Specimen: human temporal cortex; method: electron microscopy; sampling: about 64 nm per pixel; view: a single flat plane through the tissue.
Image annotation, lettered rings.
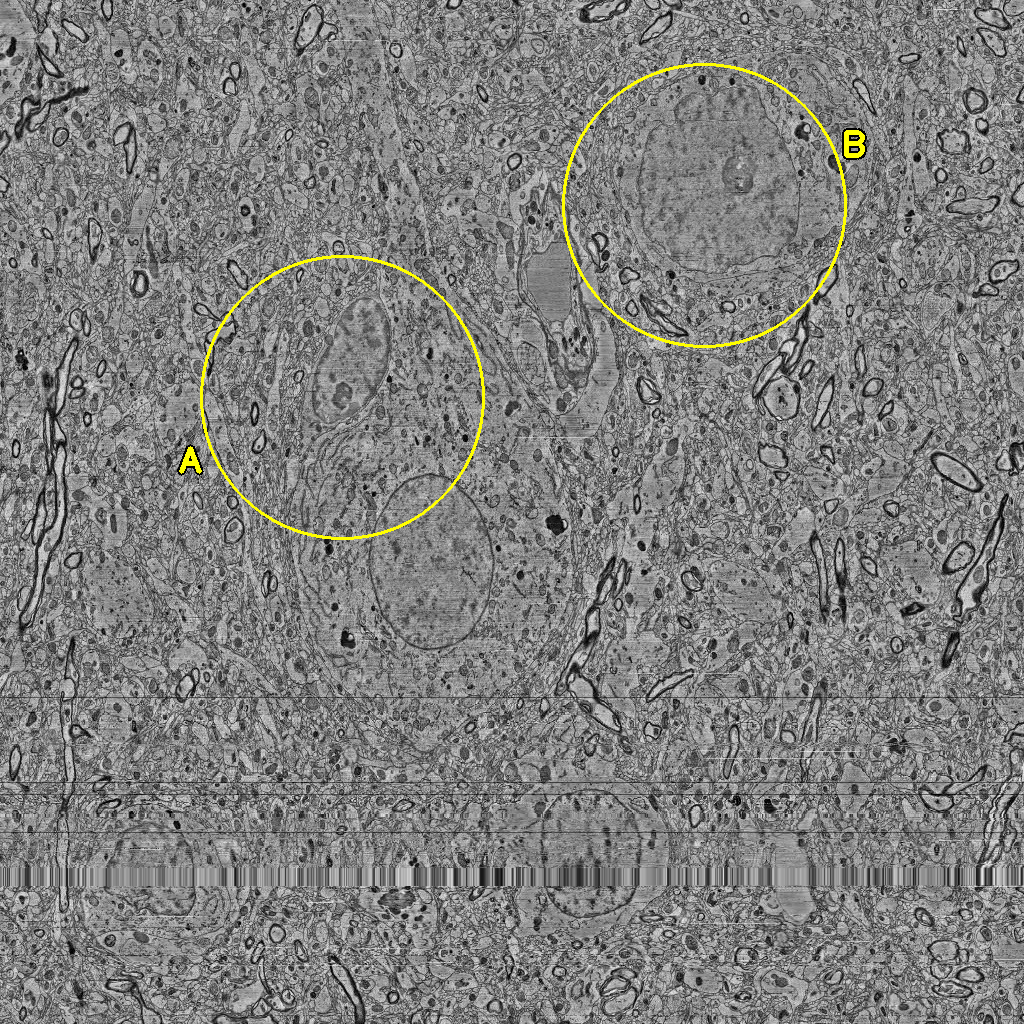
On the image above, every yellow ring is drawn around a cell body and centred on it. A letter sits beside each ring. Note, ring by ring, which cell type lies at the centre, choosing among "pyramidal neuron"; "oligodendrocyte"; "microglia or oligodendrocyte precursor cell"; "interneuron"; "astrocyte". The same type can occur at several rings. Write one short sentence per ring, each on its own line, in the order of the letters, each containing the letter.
Ring A has an oligodendrocyte at its centre.
Ring B has an interneuron at its centre.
